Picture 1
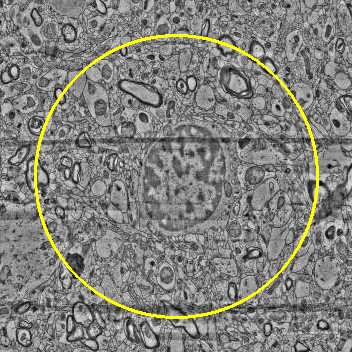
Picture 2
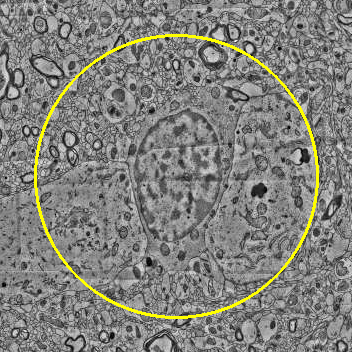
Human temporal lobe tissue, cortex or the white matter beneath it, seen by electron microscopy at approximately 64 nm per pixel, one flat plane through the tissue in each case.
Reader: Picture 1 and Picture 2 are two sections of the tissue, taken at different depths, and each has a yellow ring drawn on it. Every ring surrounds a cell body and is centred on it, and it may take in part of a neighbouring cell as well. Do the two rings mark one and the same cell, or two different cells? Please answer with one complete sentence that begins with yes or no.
Yes, the two rings belong to one cell, not to two.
